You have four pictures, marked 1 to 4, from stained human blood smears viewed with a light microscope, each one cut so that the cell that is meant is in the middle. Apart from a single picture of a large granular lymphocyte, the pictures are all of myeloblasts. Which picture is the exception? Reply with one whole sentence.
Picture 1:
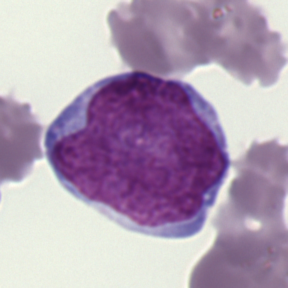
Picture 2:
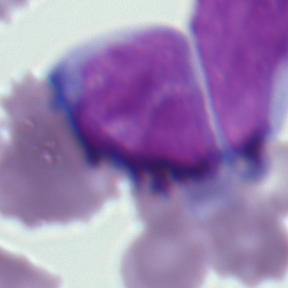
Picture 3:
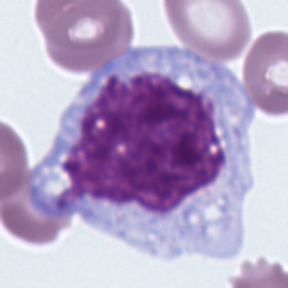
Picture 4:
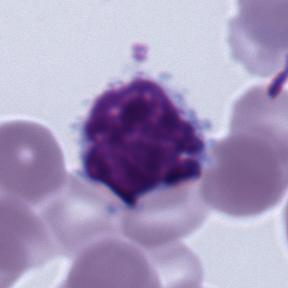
It is picture 4 that shows the large granular lymphocyte.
